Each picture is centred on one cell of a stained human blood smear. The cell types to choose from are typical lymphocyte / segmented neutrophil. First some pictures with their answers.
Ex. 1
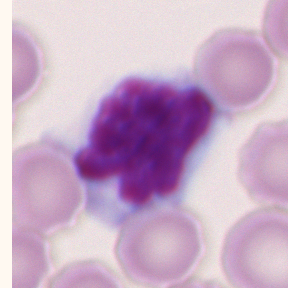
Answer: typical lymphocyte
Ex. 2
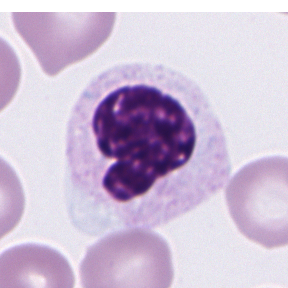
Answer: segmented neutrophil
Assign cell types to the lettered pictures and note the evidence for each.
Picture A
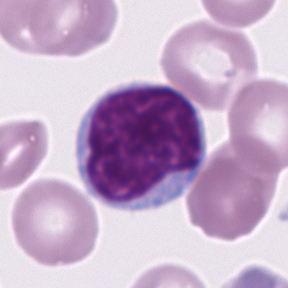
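Answer: typical lymphocyte. The cytoplasm forms a thin rim that is widest at the lower right.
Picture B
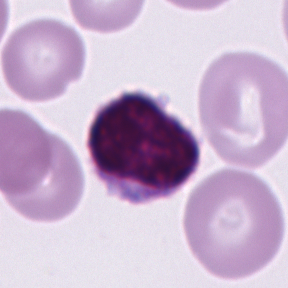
Answer: typical lymphocyte. A narrow crescent of pale lilac-blue cytoplasm shows mainly along the lower edge.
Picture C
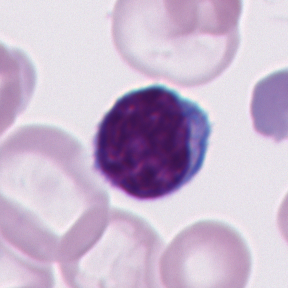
Answer: typical lymphocyte. The cytoplasm is a thin crescent seen mainly on the right side of the nucleus.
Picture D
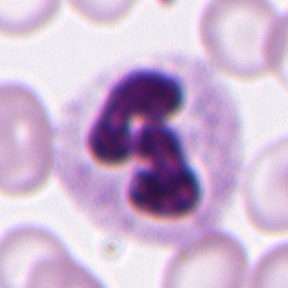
Answer: segmented neutrophil. A wide rim of pale pinkish-lilac cytoplasm surrounds the nucleus.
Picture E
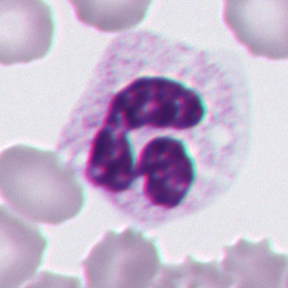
Answer: segmented neutrophil. The cytoplasm is abundant and pale pink.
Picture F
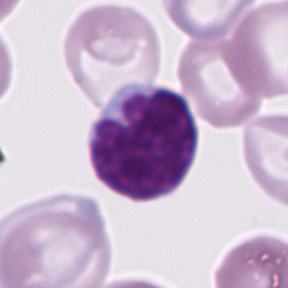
Answer: typical lymphocyte. The cytoplasm is a thin rim, widest at the upper left.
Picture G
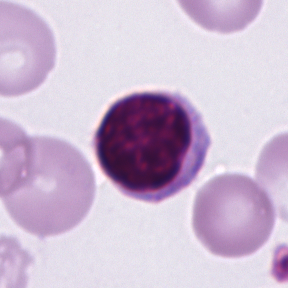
Answer: typical lymphocyte. The cytoplasm forms a narrow rim that is widest on the right side of the cell.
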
